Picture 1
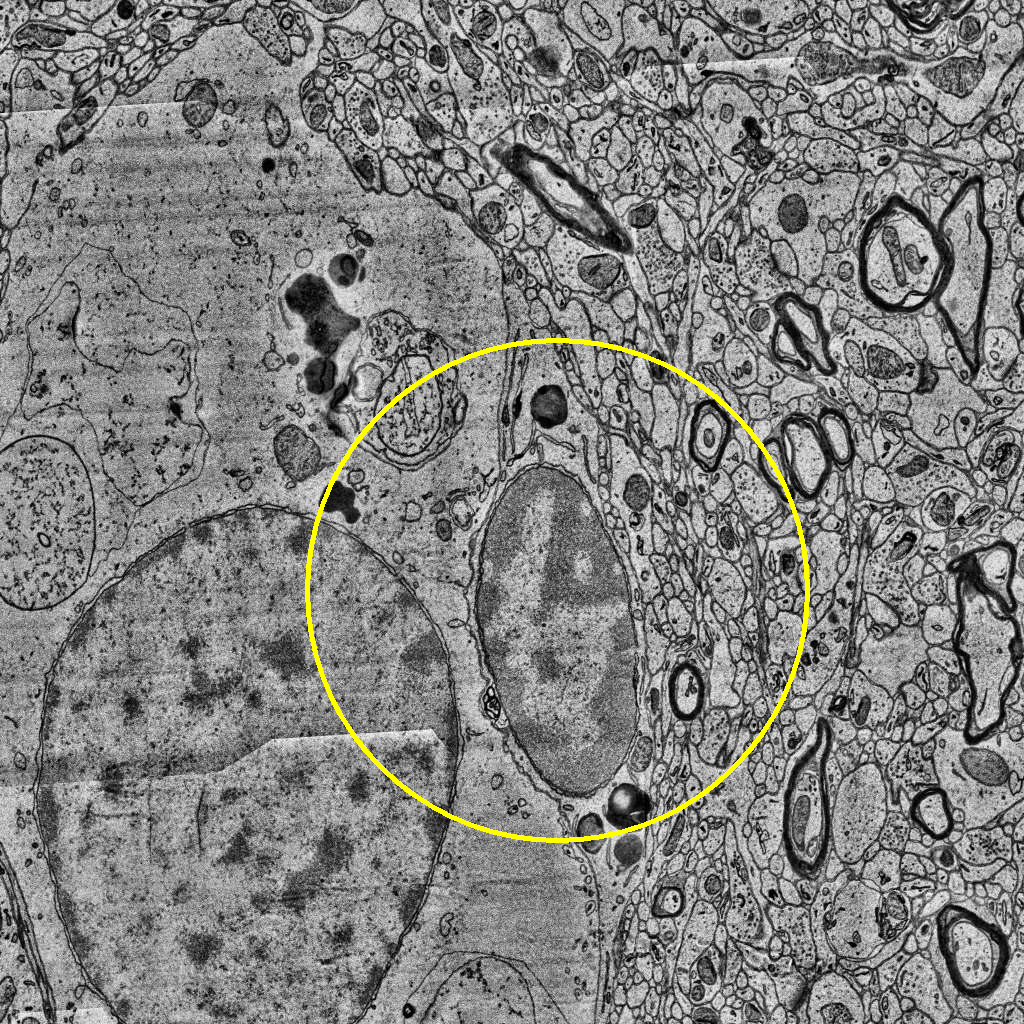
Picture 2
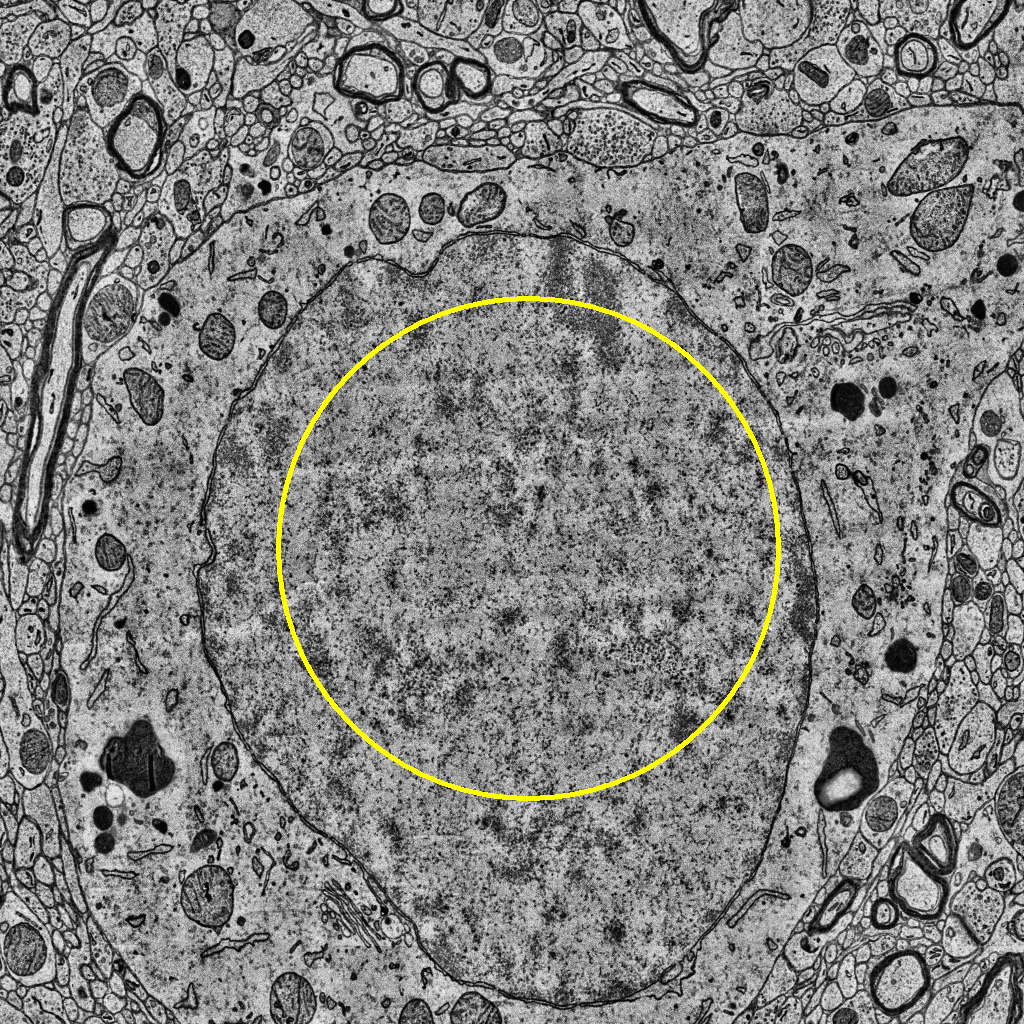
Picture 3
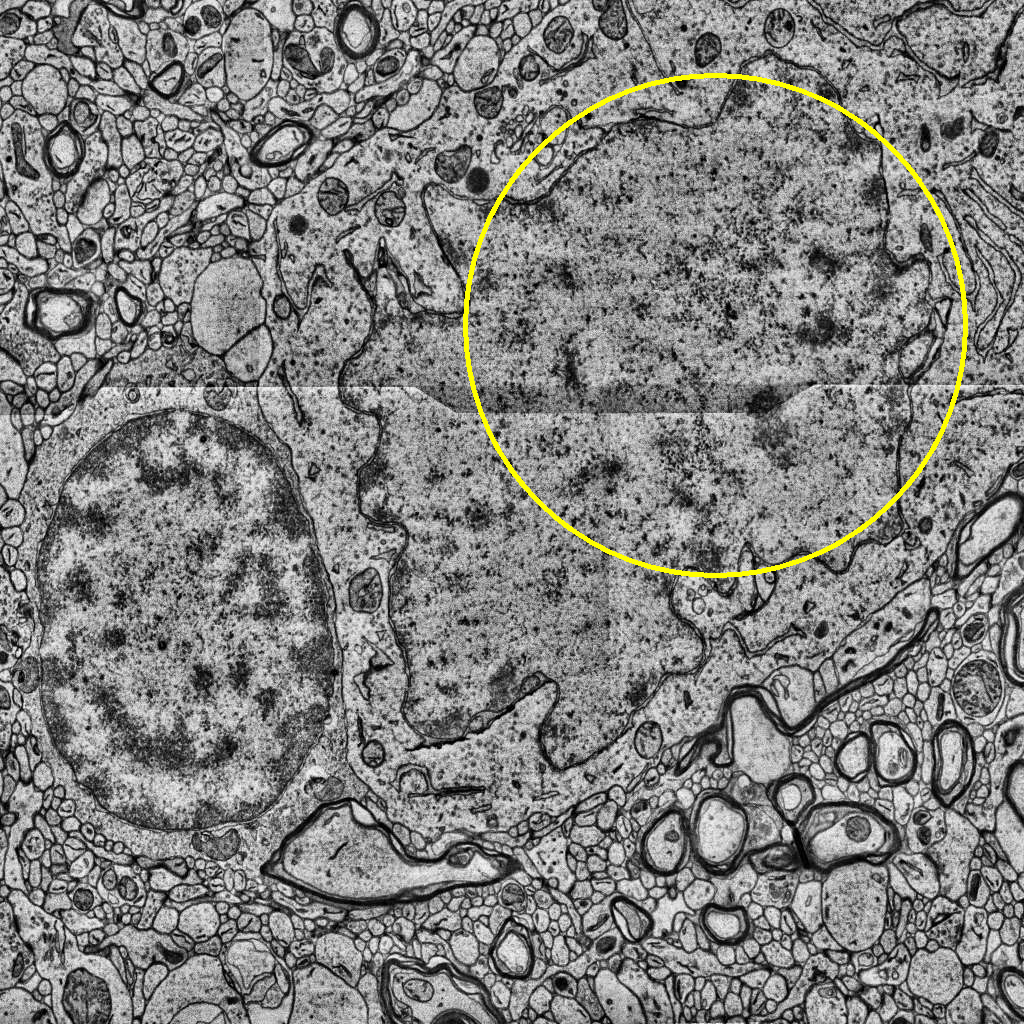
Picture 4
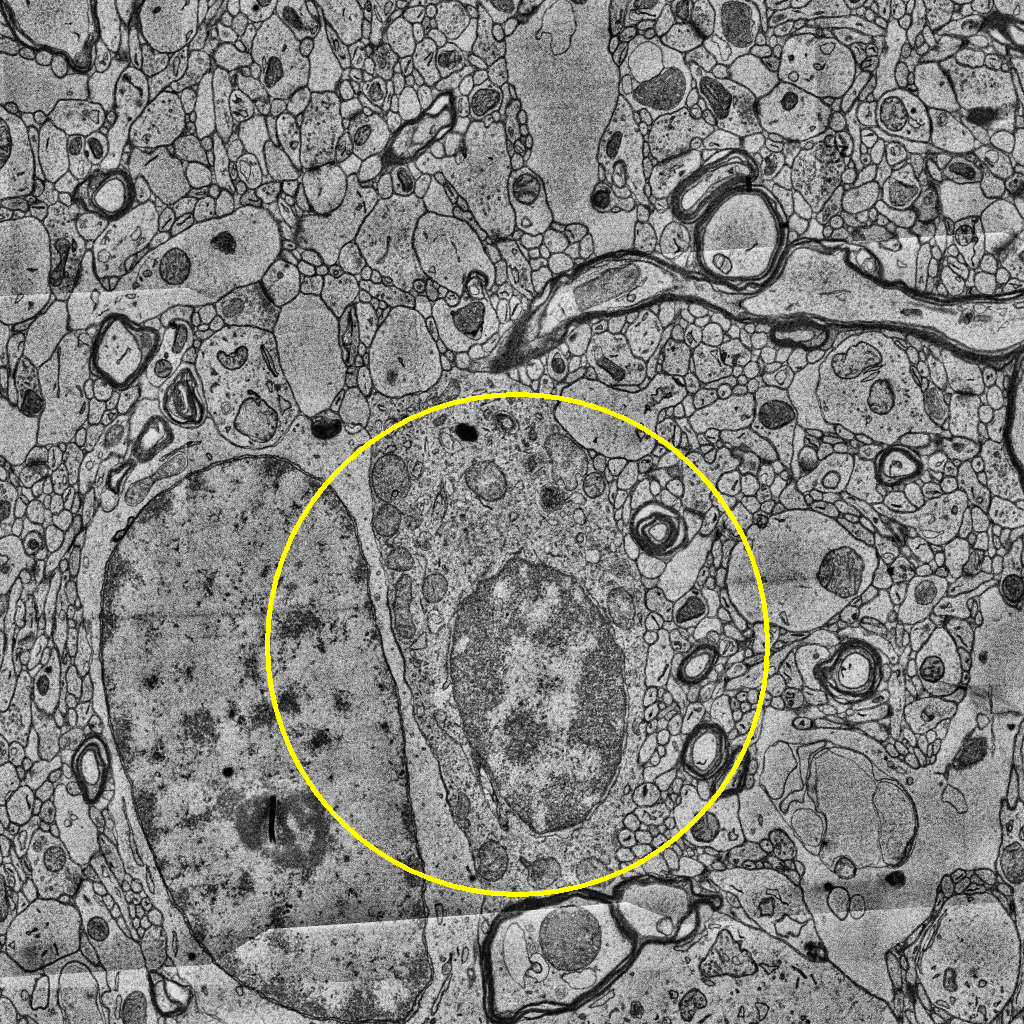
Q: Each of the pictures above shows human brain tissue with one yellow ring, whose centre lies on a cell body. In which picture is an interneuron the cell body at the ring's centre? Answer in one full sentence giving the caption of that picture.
Picture 3 is the one whose ring's centre lies on the cell in question.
